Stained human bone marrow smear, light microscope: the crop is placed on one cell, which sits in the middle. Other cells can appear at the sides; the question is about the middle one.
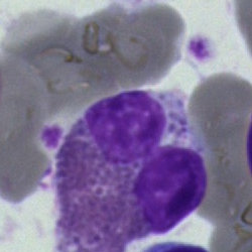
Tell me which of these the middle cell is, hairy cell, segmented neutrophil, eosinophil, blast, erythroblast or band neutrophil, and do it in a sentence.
The cell centred in this crop is categorized as an eosinophil.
